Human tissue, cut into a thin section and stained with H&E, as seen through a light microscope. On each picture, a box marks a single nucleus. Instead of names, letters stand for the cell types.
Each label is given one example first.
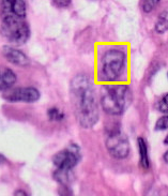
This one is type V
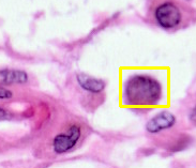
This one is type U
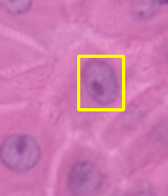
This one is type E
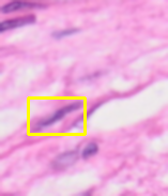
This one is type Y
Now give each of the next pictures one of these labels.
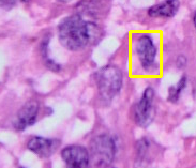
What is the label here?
type U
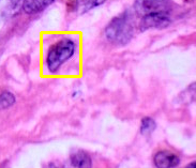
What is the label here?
type U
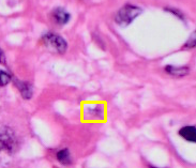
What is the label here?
type Y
